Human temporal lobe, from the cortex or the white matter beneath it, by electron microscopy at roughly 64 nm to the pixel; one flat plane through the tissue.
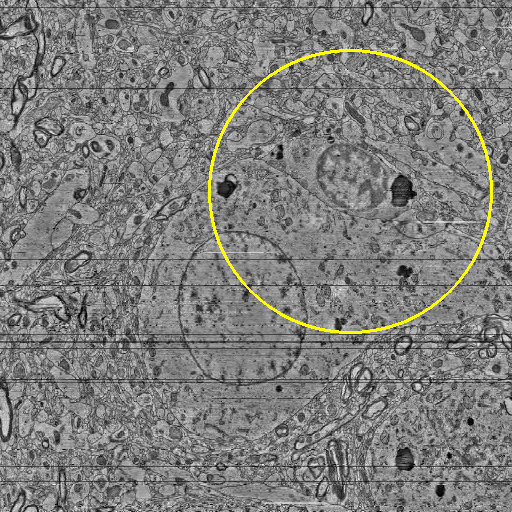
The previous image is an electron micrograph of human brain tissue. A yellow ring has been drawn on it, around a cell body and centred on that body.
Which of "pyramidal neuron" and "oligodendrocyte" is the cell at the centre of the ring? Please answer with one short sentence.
The cell body at the centre of the ring belongs to an oligodendrocyte.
